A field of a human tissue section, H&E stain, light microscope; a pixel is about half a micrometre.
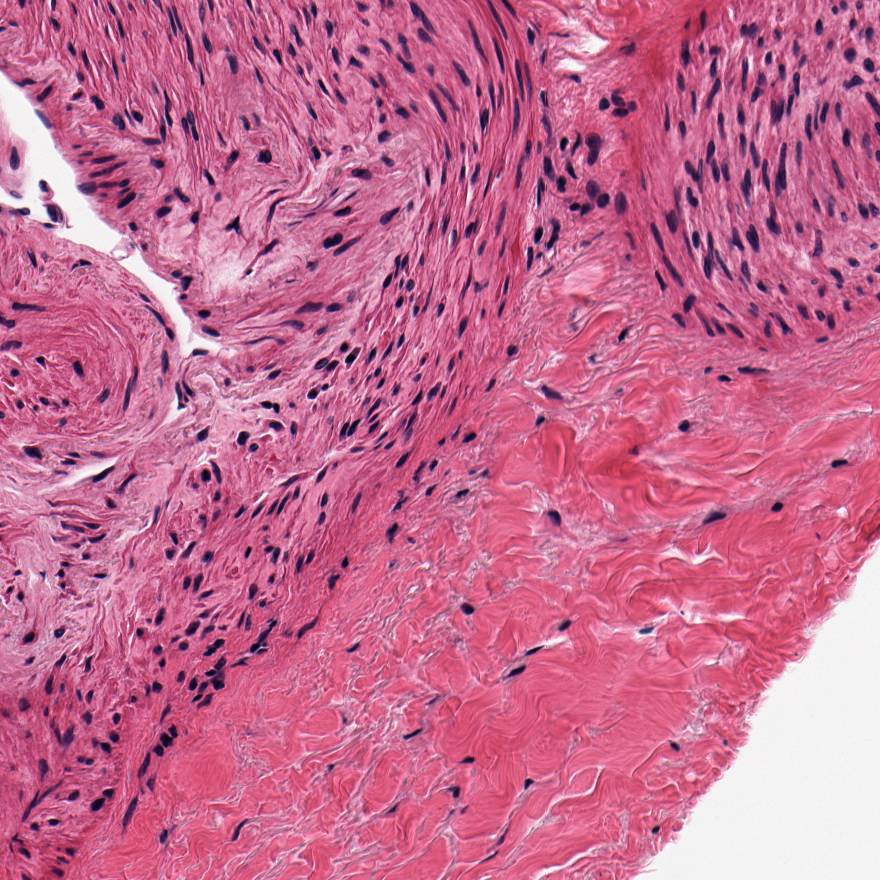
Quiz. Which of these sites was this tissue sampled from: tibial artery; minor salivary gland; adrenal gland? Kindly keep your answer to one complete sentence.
The tissue shown was sampled from the tibial artery.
